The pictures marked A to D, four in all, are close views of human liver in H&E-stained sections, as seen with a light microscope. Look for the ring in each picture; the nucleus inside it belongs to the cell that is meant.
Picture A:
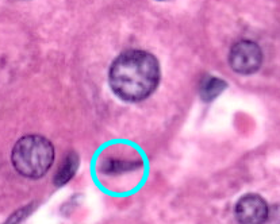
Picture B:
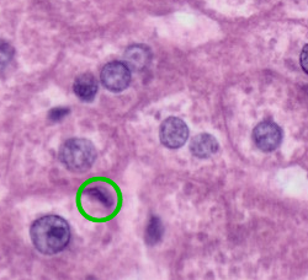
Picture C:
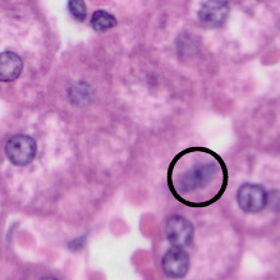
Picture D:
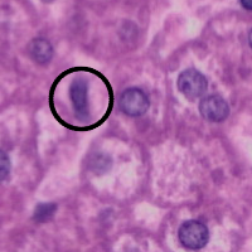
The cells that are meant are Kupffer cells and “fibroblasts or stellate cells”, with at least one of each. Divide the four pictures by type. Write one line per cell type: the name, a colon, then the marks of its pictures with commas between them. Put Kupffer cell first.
Kupffer cell: D
fibroblast or stellate cell: A, B, C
